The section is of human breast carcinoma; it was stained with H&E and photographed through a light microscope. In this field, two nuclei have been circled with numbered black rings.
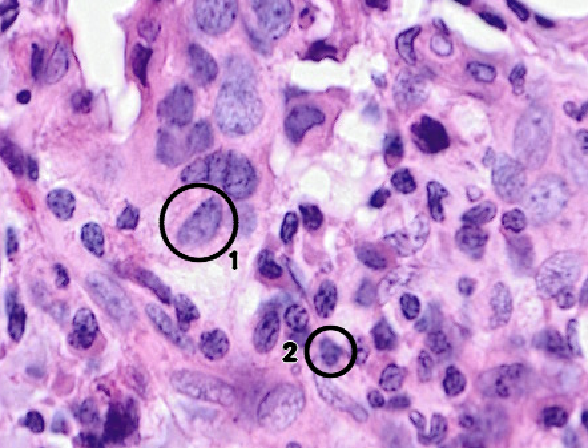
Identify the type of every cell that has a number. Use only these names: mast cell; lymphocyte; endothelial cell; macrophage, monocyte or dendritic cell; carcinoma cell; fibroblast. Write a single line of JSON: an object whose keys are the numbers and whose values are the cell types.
{"1": "carcinoma cell", "2": "lymphocyte"}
